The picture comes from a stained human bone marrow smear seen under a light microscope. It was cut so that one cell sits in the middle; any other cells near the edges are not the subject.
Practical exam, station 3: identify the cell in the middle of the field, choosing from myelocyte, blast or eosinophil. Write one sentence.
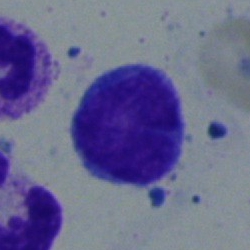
Centrally within this crop lies a blast.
